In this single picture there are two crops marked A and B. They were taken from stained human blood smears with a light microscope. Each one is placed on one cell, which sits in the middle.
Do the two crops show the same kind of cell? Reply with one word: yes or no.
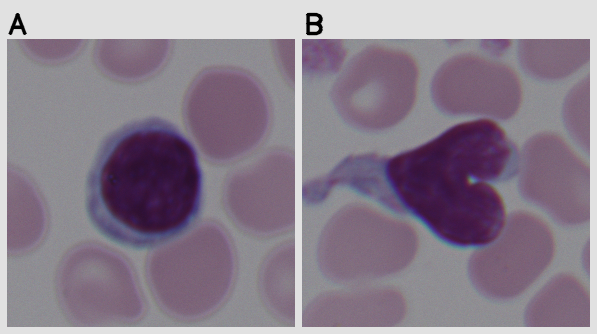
yes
